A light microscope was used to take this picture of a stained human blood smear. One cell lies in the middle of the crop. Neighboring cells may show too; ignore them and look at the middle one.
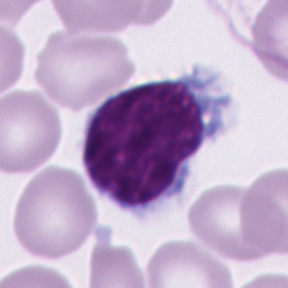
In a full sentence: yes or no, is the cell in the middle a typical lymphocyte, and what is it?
Yes, the crop is centred on a typical lymphocyte.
